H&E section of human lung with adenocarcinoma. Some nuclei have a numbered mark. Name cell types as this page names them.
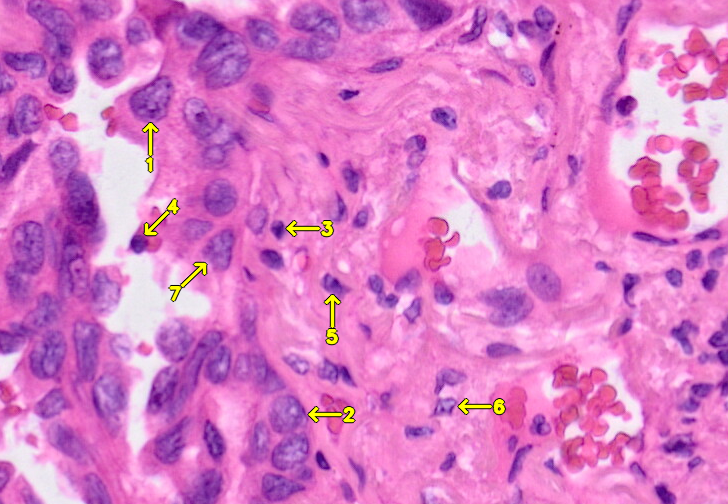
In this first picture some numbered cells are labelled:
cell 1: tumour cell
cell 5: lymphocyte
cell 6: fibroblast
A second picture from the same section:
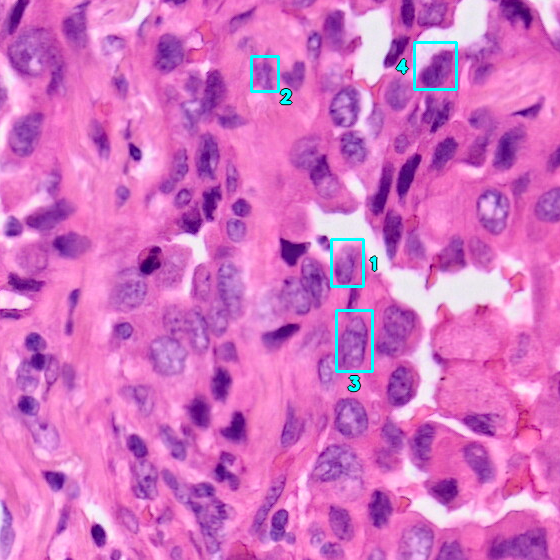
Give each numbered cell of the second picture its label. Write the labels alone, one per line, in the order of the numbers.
tumour cell
fibroblast
tumour cell
tumour cell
